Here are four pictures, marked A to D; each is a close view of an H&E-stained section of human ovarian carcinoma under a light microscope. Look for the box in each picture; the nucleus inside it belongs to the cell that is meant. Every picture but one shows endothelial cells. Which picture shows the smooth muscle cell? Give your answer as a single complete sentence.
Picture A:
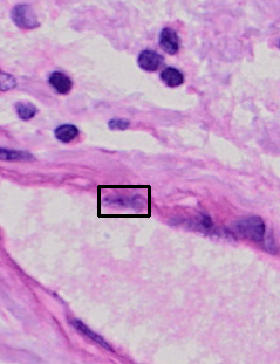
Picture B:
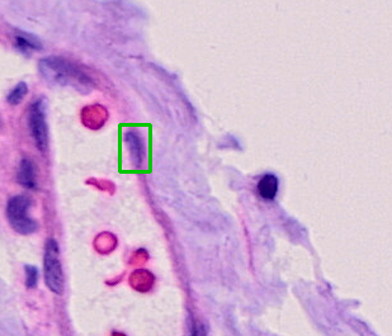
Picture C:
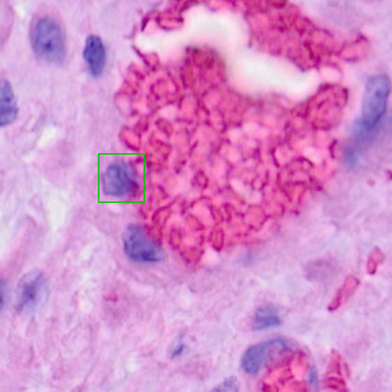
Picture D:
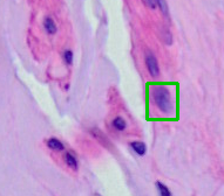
The cell in picture D is the smooth muscle cell.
